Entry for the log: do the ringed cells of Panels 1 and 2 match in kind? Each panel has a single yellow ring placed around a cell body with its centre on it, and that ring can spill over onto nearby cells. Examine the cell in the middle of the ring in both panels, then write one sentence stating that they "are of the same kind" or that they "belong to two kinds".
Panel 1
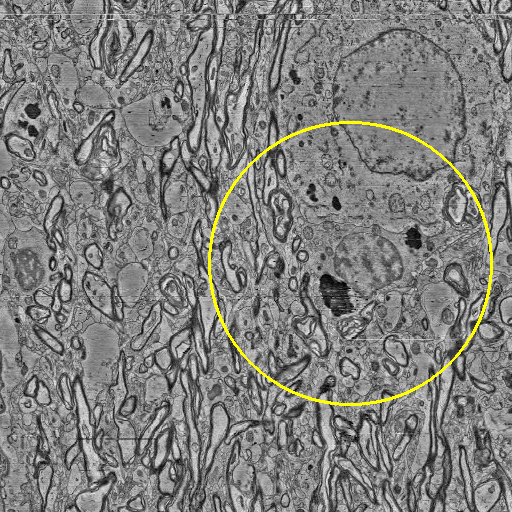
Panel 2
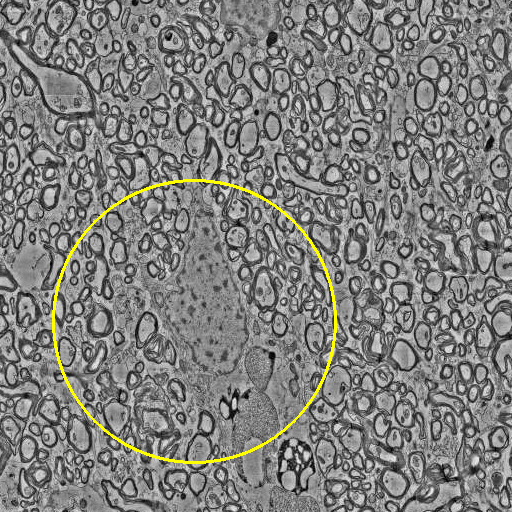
The centre cell of Panel 1's ring and that of Panel 2's ring belong to two kinds.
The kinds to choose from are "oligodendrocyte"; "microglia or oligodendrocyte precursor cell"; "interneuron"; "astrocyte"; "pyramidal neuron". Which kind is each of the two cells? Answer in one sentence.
Of the two, the first cell is an oligodendrocyte and the second cell is an astrocyte.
